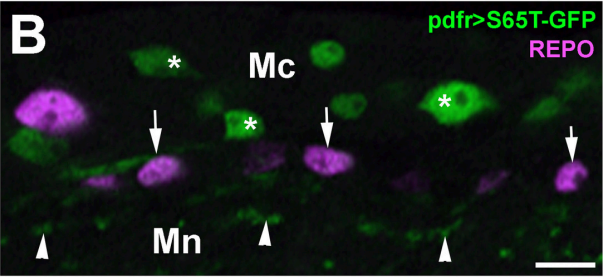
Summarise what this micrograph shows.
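This is the boundary between the cortex of cell bodies and the neuropil in the fly medulla. Below, in the neuropil, only small scattered green patches of nerve terminals are seen.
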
